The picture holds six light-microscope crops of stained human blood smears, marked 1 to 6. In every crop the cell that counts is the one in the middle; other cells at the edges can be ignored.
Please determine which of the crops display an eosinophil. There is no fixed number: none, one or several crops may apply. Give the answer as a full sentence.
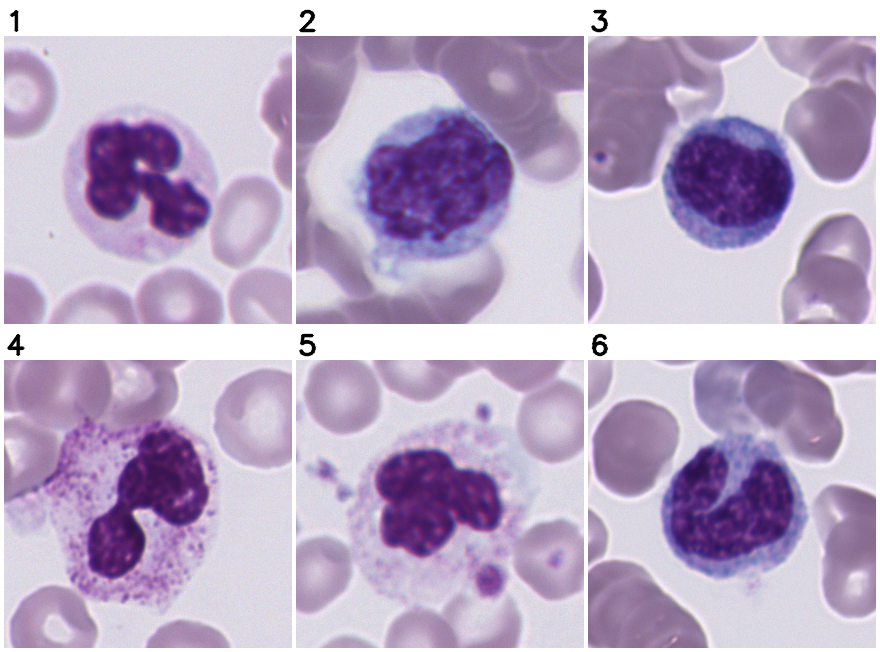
Nope, not one of these cells is an eosinophil.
